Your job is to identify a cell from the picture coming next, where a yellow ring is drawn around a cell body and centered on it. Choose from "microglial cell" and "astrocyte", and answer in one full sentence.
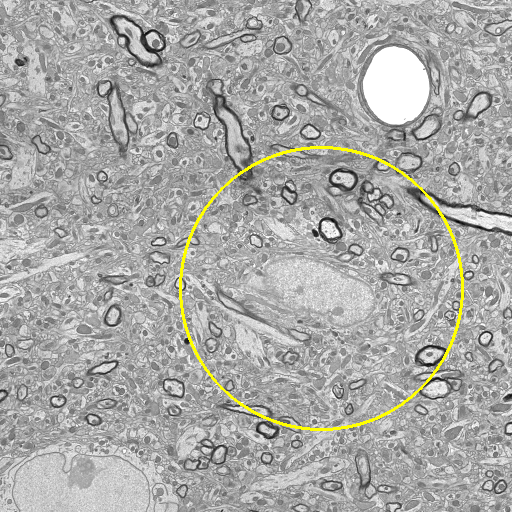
Centered in the yellow ring of the picture is the body of an astrocyte.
